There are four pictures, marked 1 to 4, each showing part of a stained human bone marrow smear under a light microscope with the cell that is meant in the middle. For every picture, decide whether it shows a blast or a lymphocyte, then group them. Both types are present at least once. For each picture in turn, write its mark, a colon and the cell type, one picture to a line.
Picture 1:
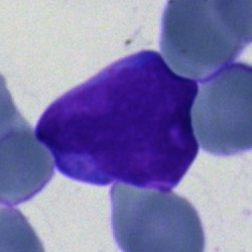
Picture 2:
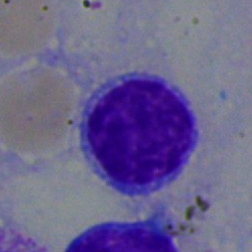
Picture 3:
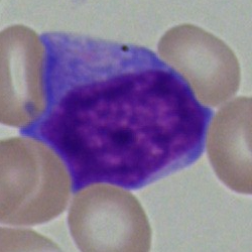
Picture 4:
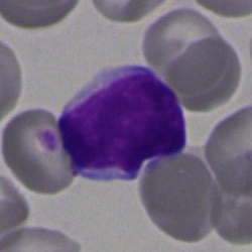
1: blast
2: lymphocyte
3: blast
4: lymphocyte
